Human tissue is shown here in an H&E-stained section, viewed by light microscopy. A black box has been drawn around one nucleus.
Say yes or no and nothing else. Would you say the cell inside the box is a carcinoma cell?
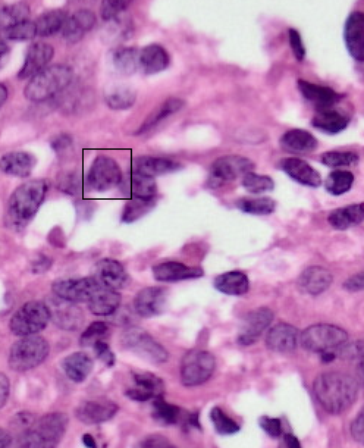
yes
